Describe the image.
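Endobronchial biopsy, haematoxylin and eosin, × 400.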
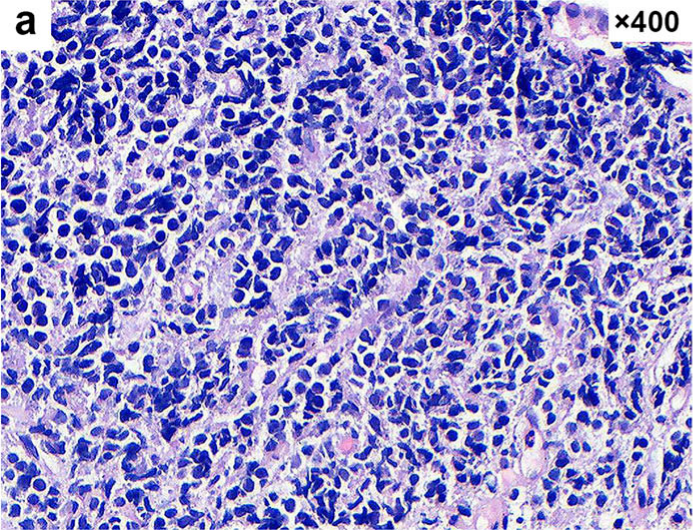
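The cells are crowded against one another, and each is dominated by a large, dark blue nucleus. The nuclei vary in shape: many are round, others oval, and some look irregular or folded. Around the nuclei the cytoplasm is scant and pale, with a faintly bluish tint.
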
